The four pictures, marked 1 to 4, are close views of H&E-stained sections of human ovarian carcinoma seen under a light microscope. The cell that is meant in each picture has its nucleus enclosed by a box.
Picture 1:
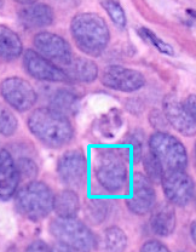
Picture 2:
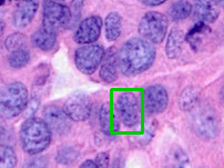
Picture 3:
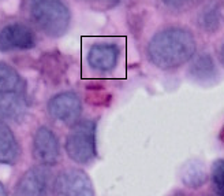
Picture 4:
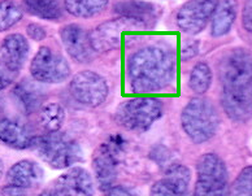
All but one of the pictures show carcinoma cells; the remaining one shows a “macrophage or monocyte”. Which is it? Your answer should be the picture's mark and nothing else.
3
